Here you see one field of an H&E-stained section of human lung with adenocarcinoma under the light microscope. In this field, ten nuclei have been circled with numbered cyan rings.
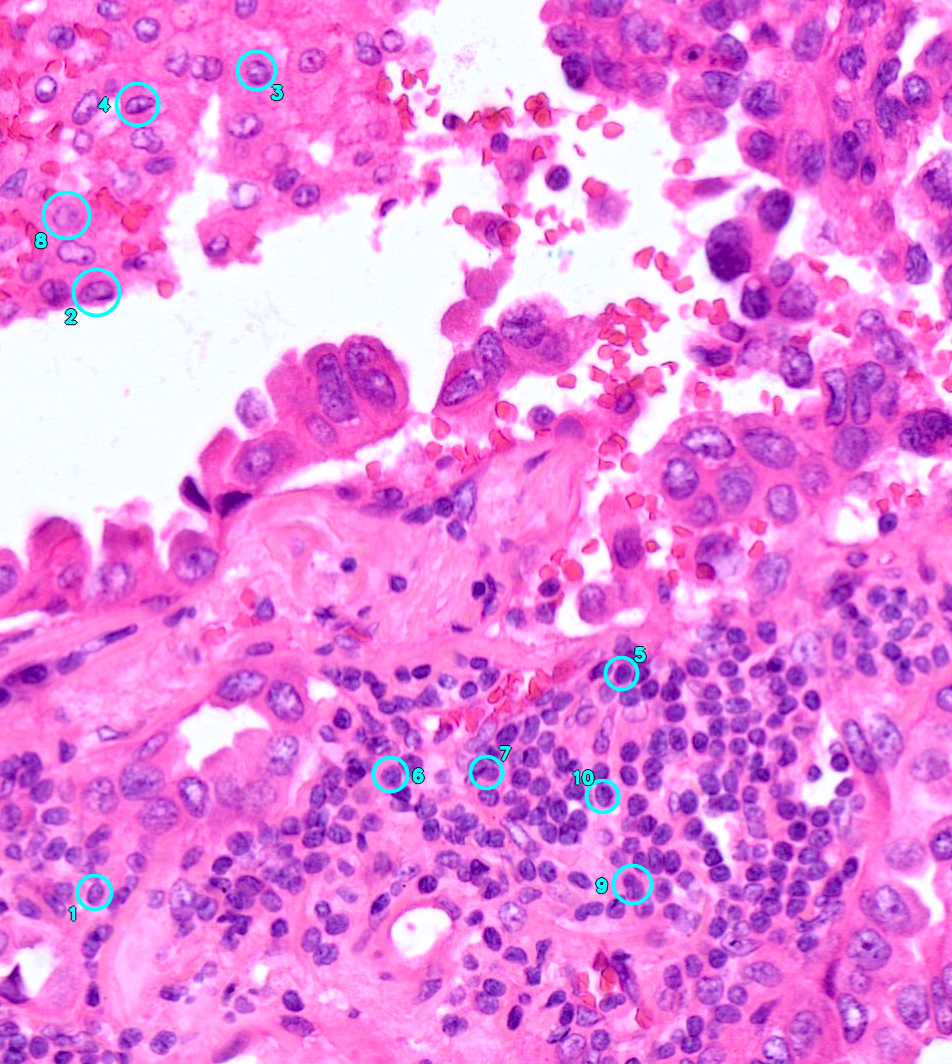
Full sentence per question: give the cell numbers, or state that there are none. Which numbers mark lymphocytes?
Cells 1, 5, 6, 7, 9 and 10 share one type; they are lymphocytes.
